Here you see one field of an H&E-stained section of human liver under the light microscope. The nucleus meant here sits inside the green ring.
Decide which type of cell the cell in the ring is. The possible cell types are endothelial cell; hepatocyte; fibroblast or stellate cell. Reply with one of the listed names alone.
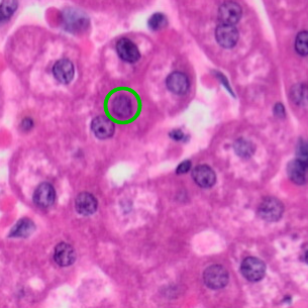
hepatocyte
